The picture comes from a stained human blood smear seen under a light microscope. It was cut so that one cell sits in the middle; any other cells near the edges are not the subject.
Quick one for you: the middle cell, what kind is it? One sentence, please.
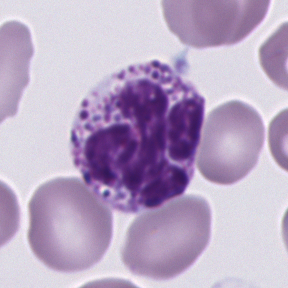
The middle of this crop is occupied by a basophil.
